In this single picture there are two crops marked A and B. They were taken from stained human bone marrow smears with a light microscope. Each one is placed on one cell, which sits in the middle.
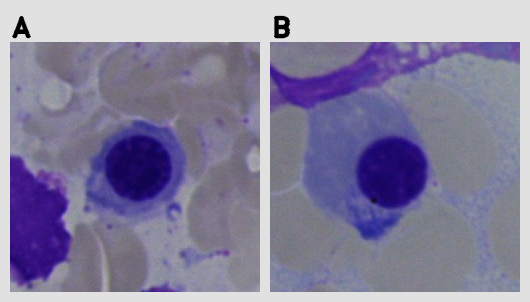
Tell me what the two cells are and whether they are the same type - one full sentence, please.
Yes, erythroblasts are shown in both crops.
